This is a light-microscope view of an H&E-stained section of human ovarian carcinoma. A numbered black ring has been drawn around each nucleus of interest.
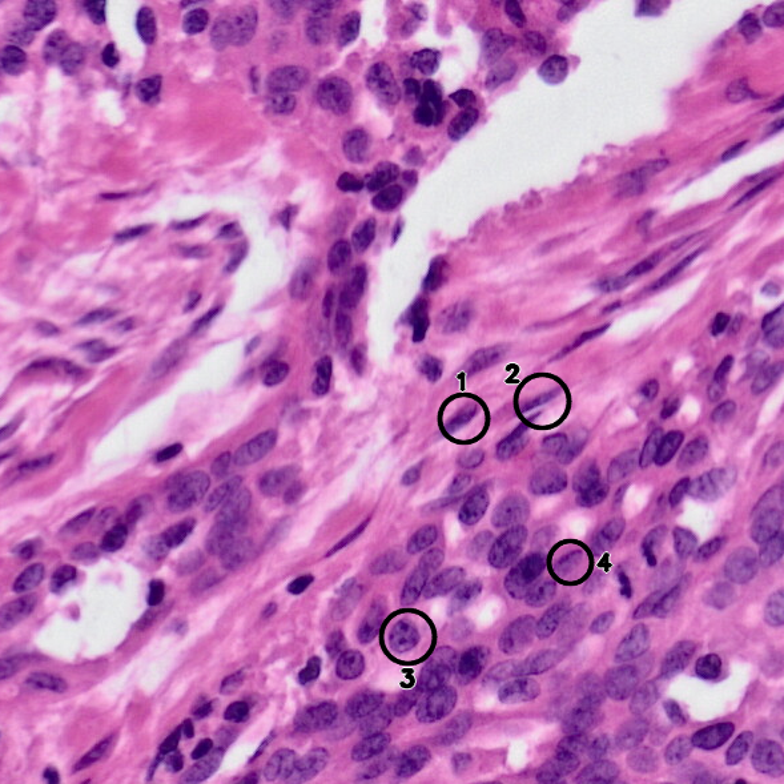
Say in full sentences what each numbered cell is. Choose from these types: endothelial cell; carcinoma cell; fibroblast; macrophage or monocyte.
Cell 1 is a fibroblast, cell 2 is a fibroblast, cell 3 is a macrophage or monocyte and cell 4 is a carcinoma cell.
